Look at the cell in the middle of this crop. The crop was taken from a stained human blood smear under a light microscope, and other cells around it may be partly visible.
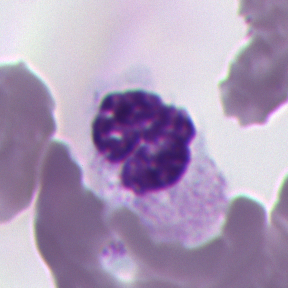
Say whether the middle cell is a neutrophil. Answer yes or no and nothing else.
yes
